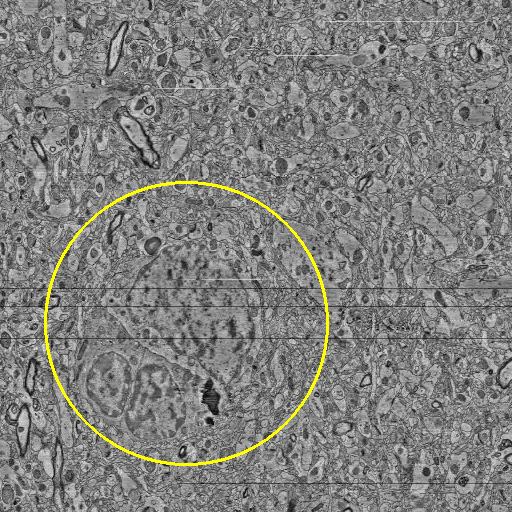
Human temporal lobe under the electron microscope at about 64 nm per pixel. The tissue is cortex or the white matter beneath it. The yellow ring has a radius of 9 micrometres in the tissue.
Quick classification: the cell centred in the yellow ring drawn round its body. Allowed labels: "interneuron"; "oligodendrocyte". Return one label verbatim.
interneuron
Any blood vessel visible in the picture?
No, the image shows no blood vessel.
